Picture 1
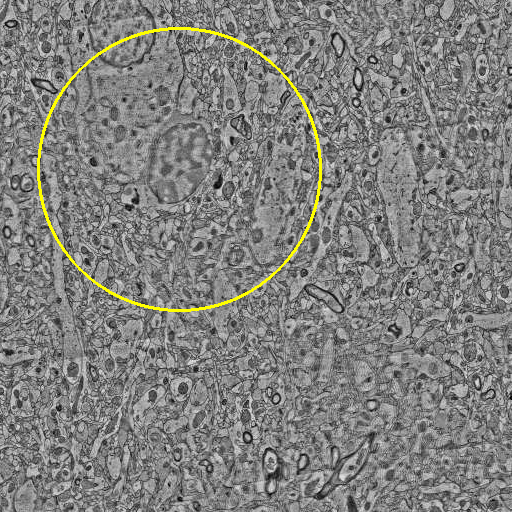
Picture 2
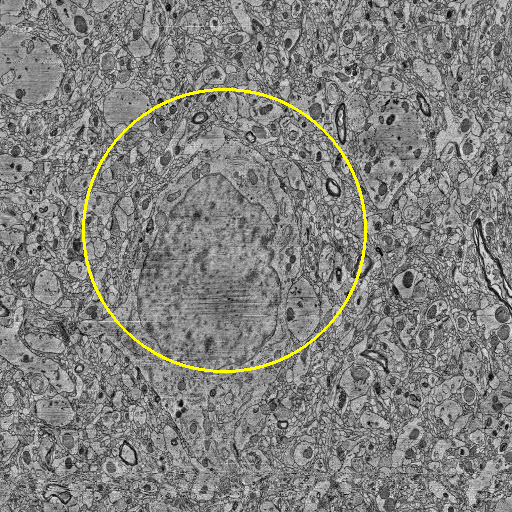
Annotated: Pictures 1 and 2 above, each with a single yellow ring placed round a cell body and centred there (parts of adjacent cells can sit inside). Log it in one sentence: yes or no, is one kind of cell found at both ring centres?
No, the ring centres of the two pictures hold cells of two kinds.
